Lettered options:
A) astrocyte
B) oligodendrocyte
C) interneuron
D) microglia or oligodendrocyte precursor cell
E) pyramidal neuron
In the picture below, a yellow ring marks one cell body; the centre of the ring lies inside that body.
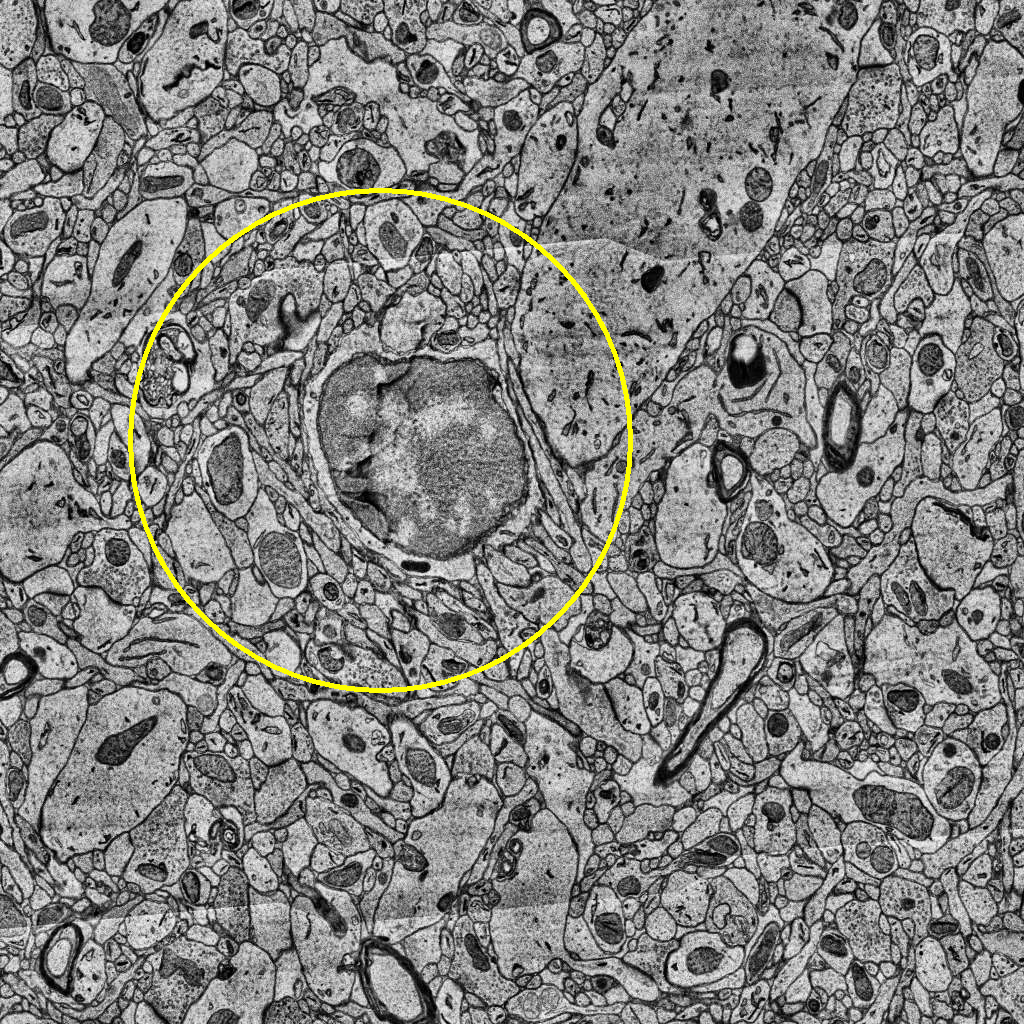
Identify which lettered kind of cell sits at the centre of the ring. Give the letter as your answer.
D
